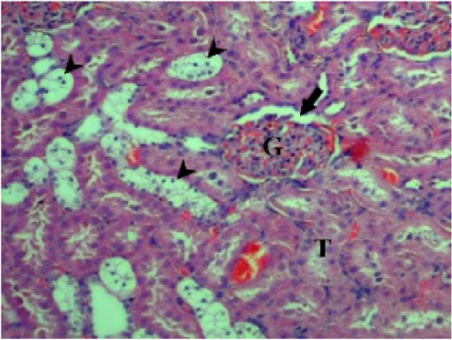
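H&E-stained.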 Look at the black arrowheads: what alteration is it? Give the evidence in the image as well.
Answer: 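Vacuolar degeneration of the renal tubules. The marked tubules have pale, clear, bubbly cytoplasm. The marked tubules stand out white against the pink tubules around them.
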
